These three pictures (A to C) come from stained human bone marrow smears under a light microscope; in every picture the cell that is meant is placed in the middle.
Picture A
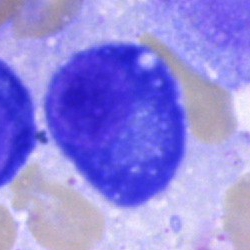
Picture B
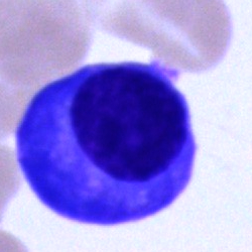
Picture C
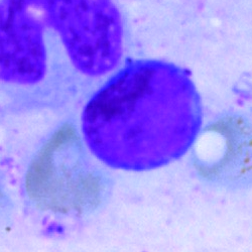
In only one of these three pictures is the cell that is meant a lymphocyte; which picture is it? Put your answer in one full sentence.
It is picture C that shows the lymphocyte.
